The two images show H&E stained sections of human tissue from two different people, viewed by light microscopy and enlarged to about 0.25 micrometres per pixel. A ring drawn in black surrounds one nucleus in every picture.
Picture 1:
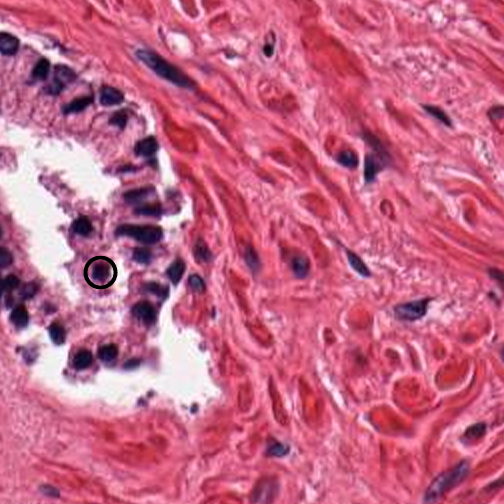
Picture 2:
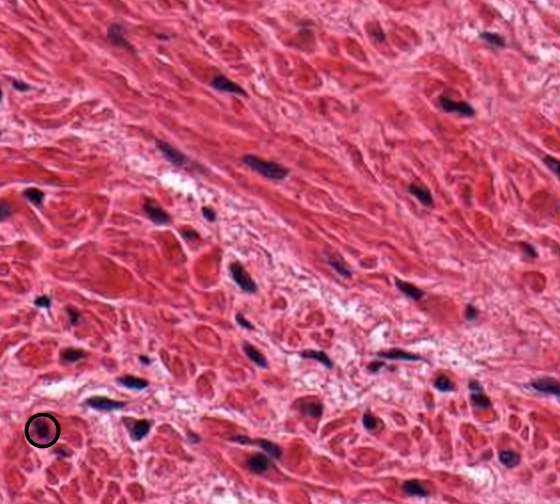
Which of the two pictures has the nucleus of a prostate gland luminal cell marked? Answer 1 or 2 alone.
1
